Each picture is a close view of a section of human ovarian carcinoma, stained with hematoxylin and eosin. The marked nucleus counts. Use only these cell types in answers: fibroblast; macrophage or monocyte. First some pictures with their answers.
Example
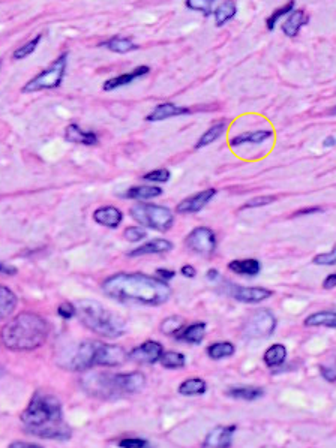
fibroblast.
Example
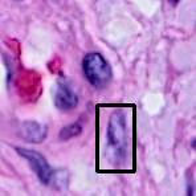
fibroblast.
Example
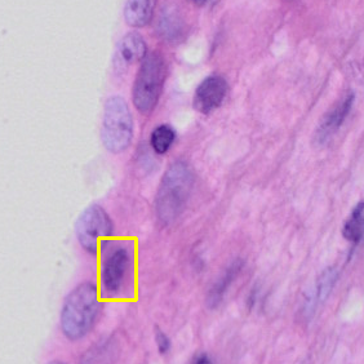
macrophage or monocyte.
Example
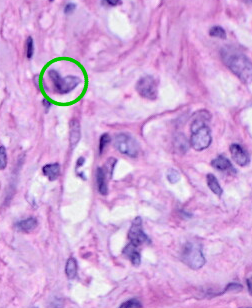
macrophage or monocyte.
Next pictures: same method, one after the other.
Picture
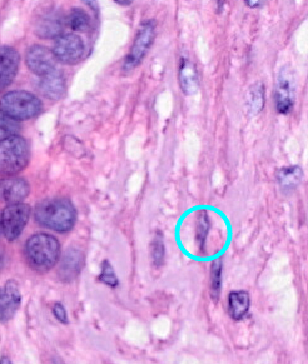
fibroblast.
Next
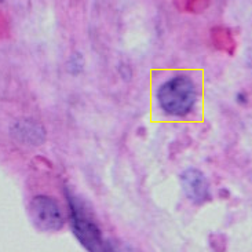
macrophage or monocyte.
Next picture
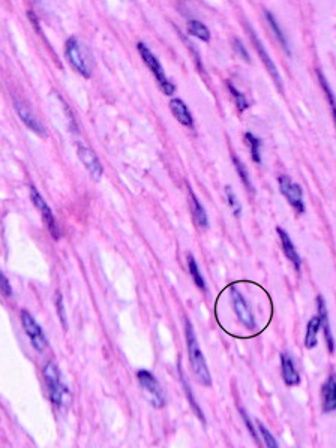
fibroblast.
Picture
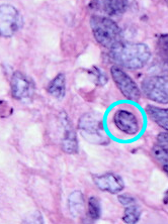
macrophage or monocyte.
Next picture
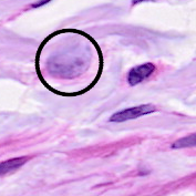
fibroblast.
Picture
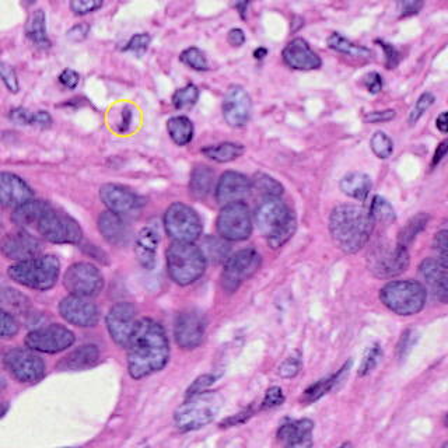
fibroblast.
